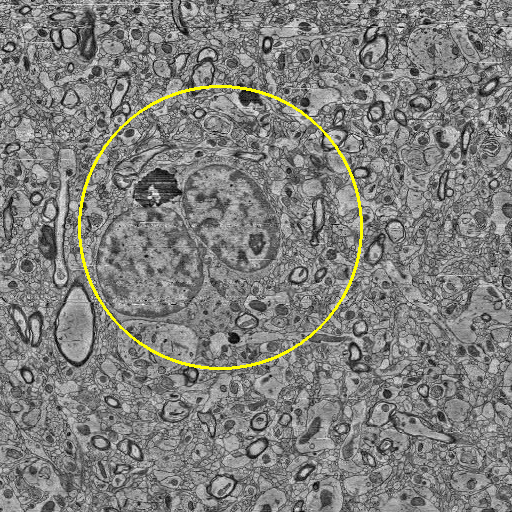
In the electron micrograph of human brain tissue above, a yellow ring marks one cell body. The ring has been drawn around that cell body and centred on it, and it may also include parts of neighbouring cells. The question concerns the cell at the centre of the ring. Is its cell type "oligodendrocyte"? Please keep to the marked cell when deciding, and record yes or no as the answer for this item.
yes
